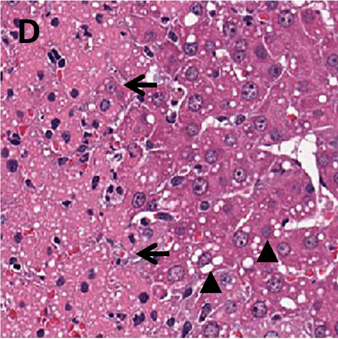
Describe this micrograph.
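Liver showing injured hepatocytes, with a necrotic zone on the left and vacuolated hepatocytes throughout. On the left, cells have dark, condensed or irregular nuclei and the cord arrangement is disturbed. Elsewhere hepatocytes are polygonal with pink cytoplasm and round nuclei, but many contain small, clear, sharply outlined round vacuoles in their cytoplasm. An irregular empty vascular space lies at the right. Small red blood cells are seen in sinusoids between the hepatocyte cords.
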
